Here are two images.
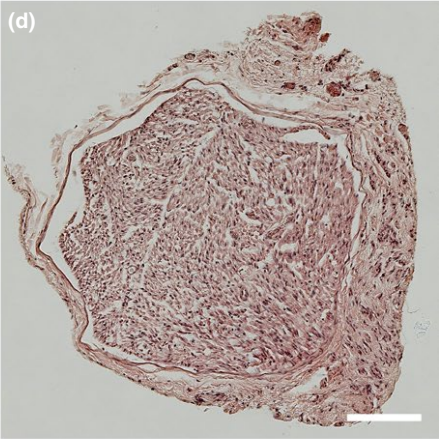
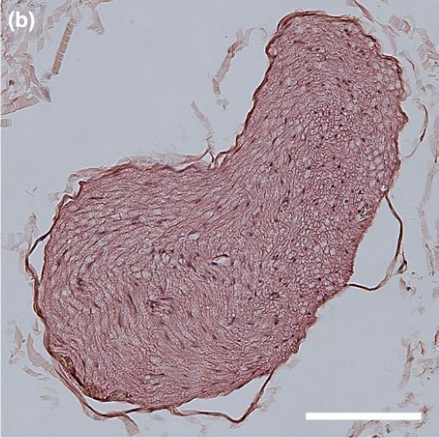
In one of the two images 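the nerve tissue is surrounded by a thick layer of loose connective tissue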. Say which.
The first image.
